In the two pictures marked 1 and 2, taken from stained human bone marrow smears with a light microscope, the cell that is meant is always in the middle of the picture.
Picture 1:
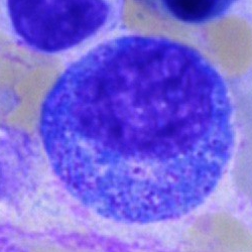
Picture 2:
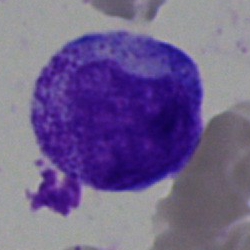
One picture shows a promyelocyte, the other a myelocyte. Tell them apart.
1: promyelocyte
2: myelocyte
